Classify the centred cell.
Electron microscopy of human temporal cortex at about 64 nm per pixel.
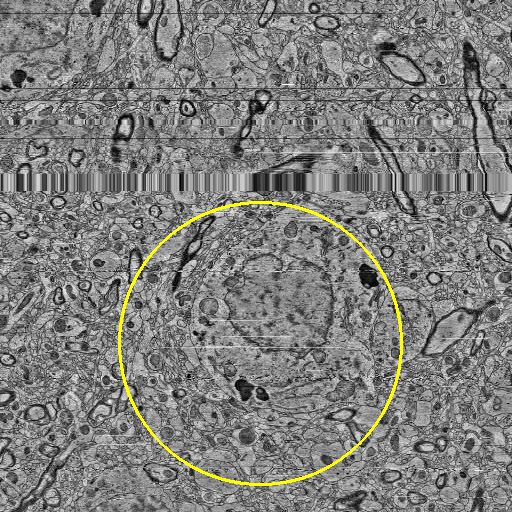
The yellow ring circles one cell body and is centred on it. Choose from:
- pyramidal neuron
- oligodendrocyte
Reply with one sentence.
The ring is centred on a pyramidal neuron.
